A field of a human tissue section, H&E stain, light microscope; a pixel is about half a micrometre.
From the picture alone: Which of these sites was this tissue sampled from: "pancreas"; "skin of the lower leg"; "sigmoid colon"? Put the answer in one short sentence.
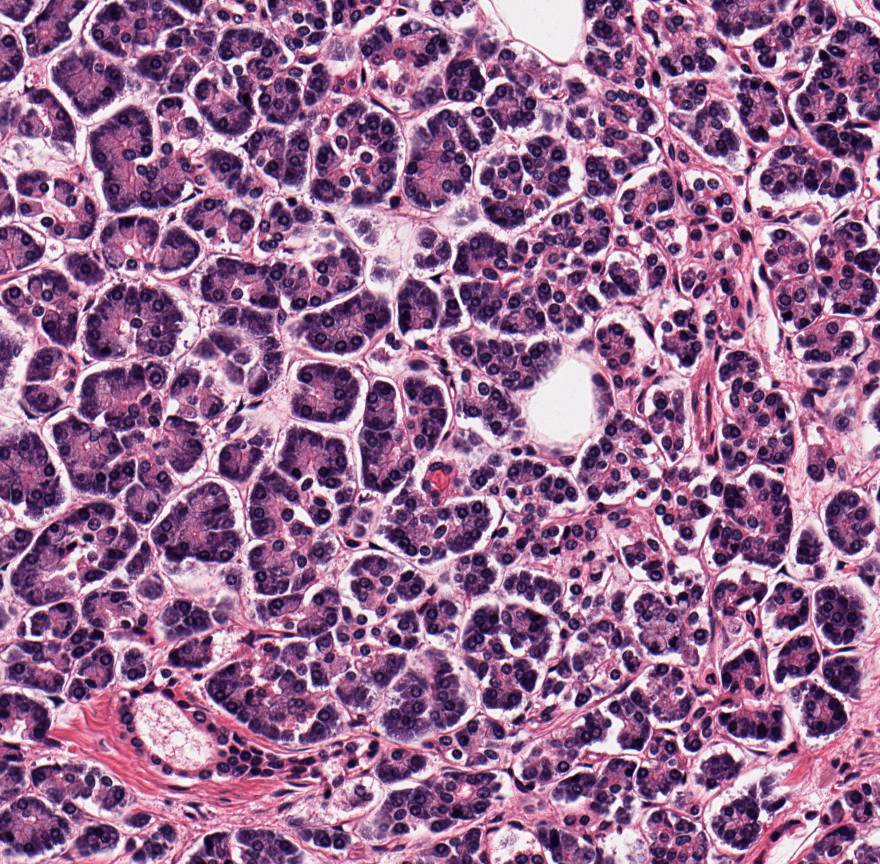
The site this tissue was sampled from is the pancreas.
